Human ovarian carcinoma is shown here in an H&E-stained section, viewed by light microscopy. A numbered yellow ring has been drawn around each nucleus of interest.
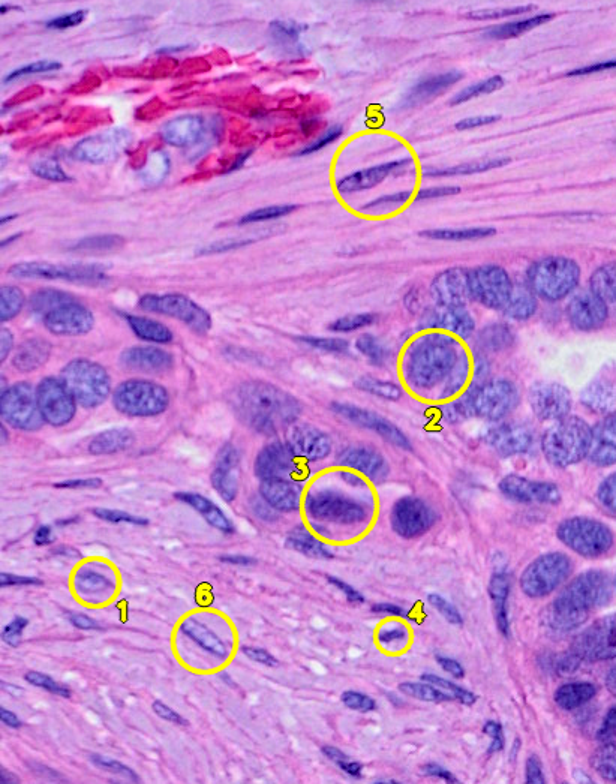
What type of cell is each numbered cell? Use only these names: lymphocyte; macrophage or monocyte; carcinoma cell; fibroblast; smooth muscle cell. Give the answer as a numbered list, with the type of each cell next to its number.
1. fibroblast
2. carcinoma cell
3. carcinoma cell
4. fibroblast
5. fibroblast
6. fibroblast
